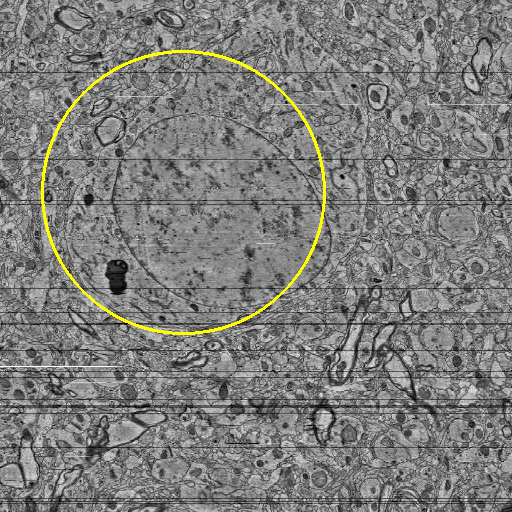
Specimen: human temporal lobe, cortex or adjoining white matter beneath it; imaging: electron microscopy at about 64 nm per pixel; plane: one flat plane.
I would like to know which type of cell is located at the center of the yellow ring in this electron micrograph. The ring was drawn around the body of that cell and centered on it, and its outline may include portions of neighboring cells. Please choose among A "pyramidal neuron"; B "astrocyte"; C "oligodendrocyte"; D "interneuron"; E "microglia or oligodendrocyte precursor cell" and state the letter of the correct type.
A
